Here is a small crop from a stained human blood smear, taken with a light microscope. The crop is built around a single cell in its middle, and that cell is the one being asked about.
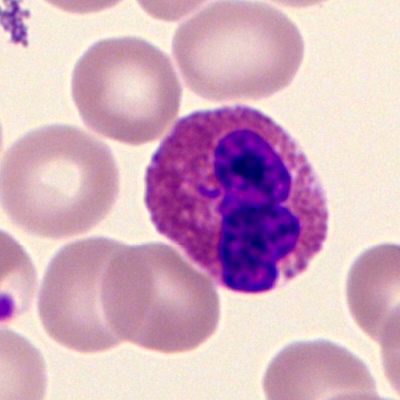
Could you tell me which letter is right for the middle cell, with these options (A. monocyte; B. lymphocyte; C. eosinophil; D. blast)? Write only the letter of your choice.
C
